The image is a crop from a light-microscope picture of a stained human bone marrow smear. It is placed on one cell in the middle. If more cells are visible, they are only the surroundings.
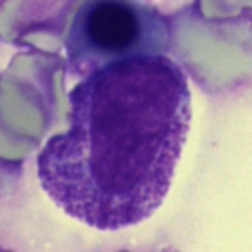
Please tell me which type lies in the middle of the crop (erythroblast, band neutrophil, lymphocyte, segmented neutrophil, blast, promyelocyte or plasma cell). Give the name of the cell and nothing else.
promyelocyte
